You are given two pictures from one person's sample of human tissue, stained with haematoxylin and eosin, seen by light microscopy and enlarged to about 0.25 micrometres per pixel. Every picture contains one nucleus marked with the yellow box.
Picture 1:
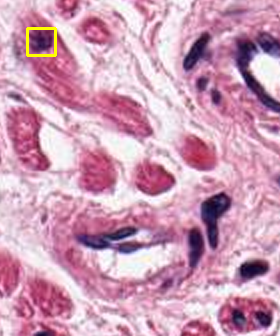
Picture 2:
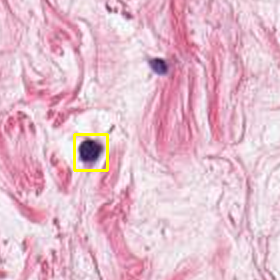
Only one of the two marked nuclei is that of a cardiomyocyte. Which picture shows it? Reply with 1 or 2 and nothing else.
1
